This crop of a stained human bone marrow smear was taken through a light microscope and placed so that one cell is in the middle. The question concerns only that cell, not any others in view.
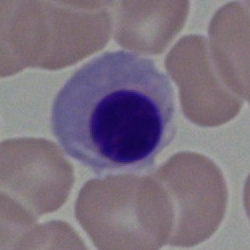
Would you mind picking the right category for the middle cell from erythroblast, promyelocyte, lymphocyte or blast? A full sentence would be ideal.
At the middle of the frame sits an erythroblast.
